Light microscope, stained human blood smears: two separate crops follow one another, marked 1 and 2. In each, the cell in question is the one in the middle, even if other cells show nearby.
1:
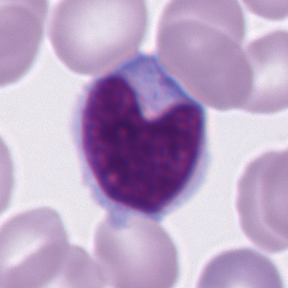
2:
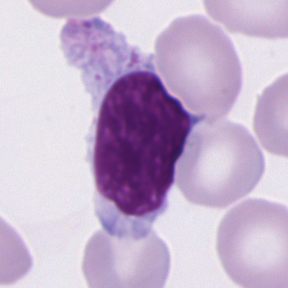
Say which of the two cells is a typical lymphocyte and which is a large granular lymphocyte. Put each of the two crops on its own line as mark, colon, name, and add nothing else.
1: typical lymphocyte
2: large granular lymphocyte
